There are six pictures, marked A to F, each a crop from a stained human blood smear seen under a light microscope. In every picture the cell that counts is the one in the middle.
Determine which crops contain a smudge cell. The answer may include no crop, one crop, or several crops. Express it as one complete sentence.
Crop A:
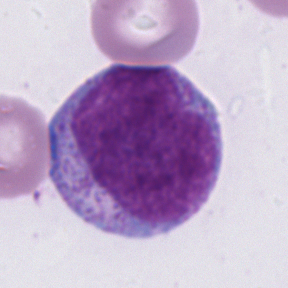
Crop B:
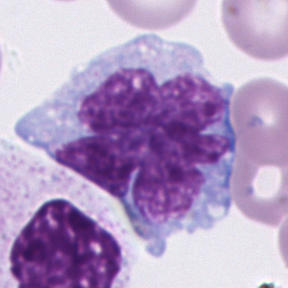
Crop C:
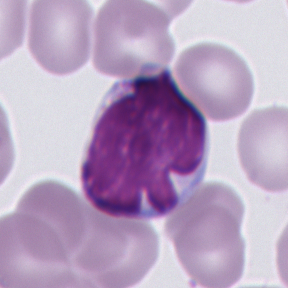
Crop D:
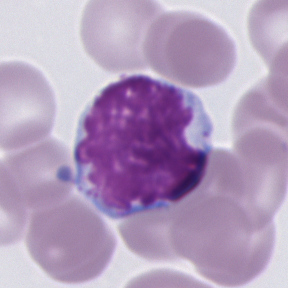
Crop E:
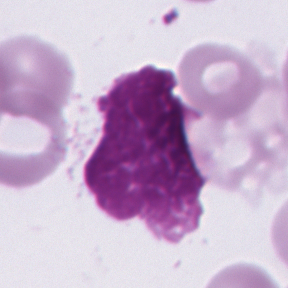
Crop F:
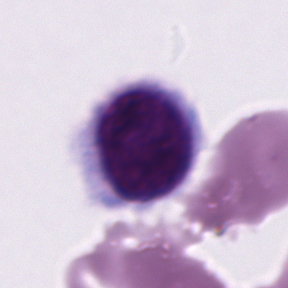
It is crop E, and no other, that shows a smudge cell.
